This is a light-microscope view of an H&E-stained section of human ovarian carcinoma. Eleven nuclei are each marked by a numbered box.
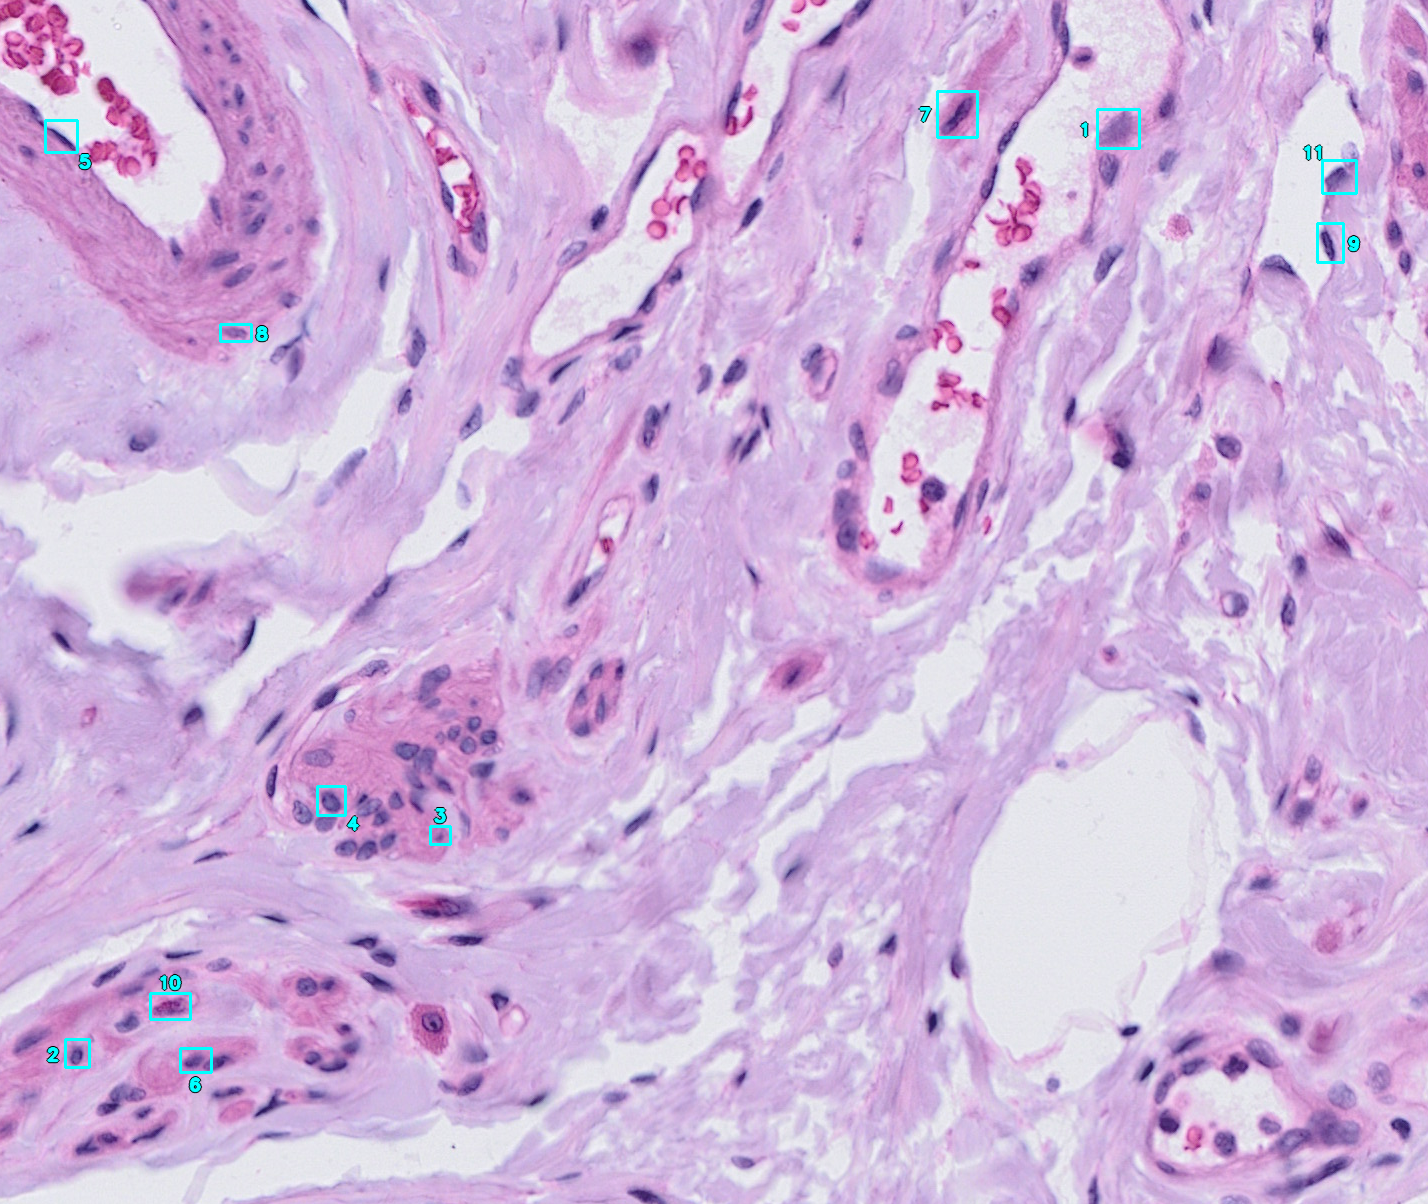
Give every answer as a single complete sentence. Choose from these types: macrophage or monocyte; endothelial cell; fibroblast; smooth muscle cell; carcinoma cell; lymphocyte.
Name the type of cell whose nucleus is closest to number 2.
The cell nearest to number 2 is a smooth muscle cell.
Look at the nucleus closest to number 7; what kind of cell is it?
The cell nearest to number 7 is an endothelial cell.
